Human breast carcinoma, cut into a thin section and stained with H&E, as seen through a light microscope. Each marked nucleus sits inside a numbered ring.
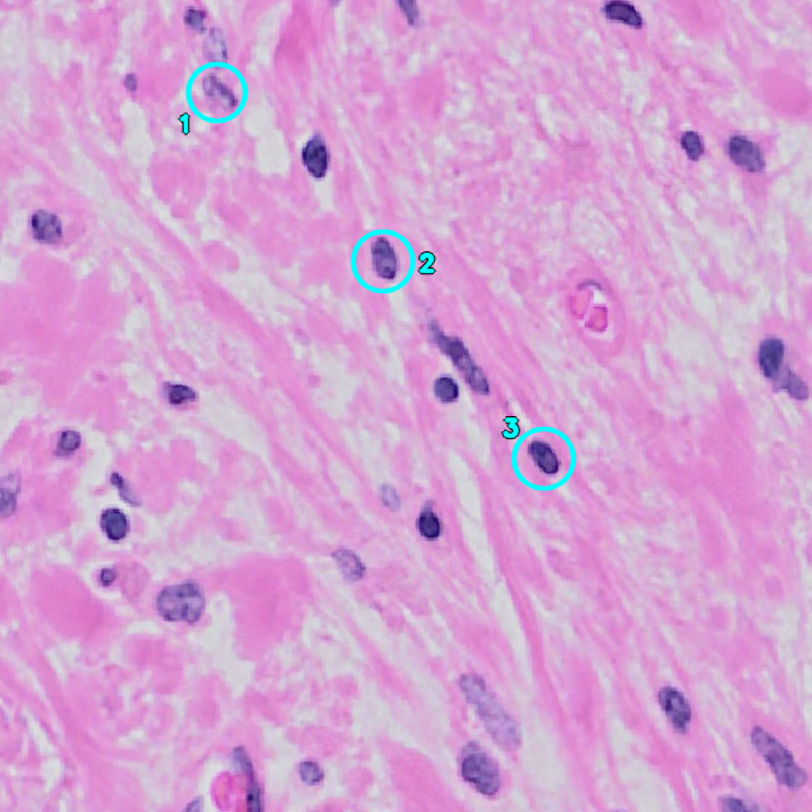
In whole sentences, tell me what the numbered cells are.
Cell 1 is a fibroblast. Cells 2 and 3 are lymphocytes.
